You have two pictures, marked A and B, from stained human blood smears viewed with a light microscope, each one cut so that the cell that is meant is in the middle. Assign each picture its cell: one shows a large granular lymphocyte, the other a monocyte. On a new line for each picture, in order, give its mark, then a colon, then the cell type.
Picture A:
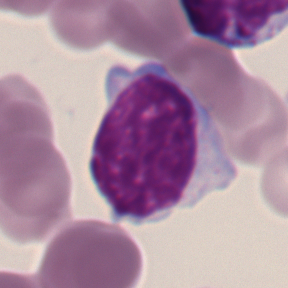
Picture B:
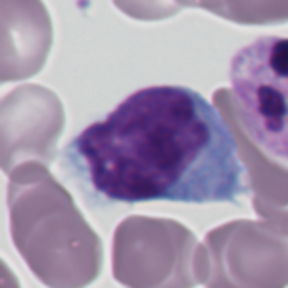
A: large granular lymphocyte
B: monocyte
